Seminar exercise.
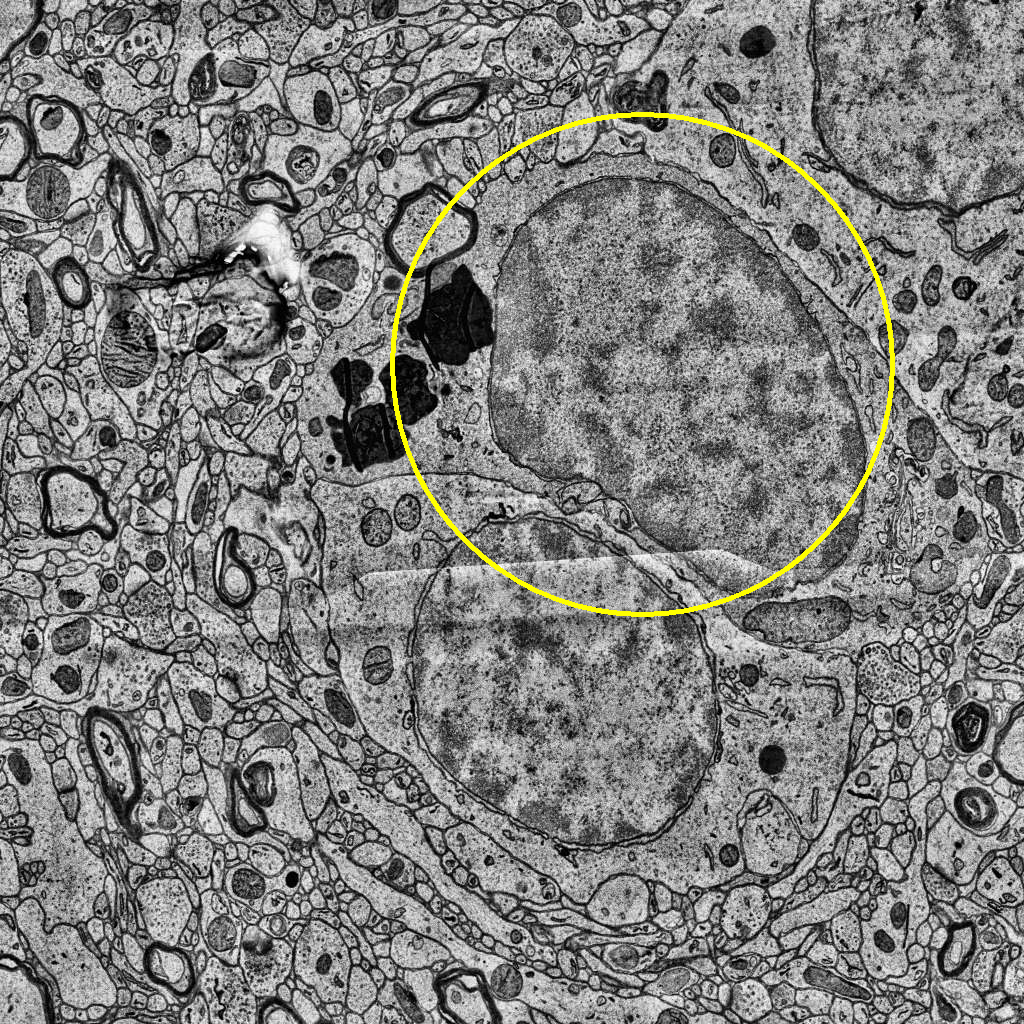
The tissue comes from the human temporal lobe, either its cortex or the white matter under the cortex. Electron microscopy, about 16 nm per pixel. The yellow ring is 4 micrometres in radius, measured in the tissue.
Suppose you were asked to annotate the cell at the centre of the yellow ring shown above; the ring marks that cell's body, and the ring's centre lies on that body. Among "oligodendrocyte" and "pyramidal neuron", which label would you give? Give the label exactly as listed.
oligodendrocyte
